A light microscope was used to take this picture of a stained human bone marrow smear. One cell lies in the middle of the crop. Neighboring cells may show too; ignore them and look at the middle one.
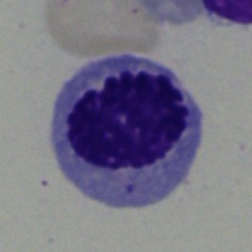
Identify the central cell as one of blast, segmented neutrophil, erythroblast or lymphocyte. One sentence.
The central cell, amid any neighbouring cells, is an erythroblast.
